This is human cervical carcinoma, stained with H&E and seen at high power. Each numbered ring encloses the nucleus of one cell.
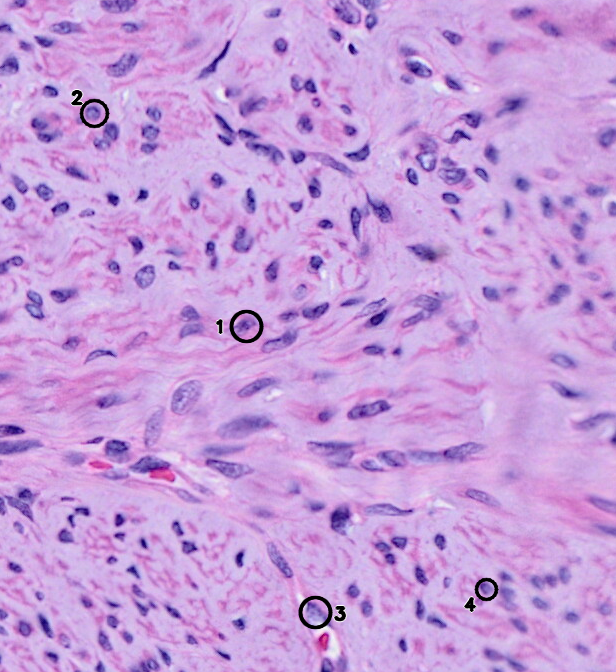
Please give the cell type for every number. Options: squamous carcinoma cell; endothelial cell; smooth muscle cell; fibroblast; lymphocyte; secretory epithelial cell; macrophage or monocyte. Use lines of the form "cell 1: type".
cell 1: smooth muscle cell
cell 2: smooth muscle cell
cell 3: endothelial cell
cell 4: smooth muscle cell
